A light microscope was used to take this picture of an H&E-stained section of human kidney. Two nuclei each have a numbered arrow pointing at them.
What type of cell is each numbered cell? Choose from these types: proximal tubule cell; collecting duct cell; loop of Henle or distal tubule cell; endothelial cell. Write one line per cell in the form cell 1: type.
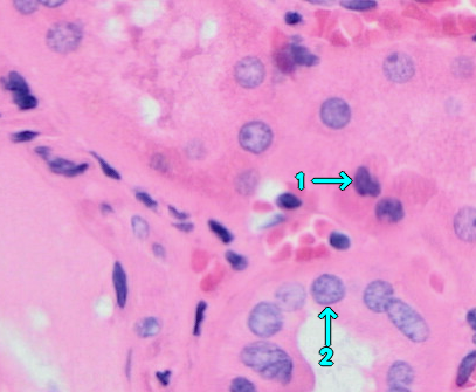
cell 1: proximal tubule cell
cell 2: collecting duct cell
